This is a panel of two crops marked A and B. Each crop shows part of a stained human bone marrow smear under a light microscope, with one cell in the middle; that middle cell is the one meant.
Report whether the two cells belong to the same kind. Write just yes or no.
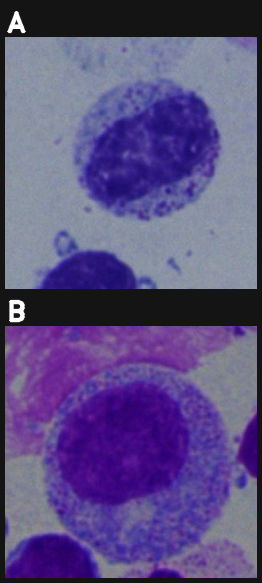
no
